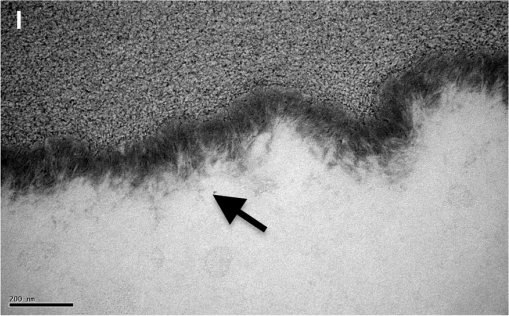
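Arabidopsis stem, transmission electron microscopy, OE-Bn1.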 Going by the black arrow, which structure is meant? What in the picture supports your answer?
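A dark, continuous band follows the undulating edge of granular wall material. The arrow points at this band from the pale outer zone. Fine fibrous wisps fray from the band into the pale zone. The answer: cuticle.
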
